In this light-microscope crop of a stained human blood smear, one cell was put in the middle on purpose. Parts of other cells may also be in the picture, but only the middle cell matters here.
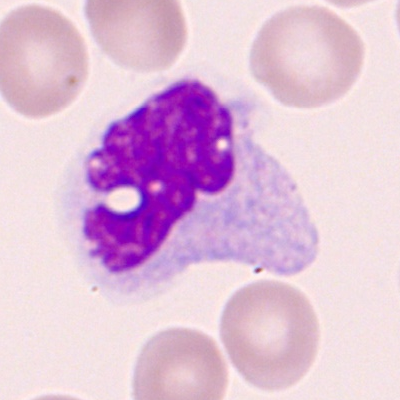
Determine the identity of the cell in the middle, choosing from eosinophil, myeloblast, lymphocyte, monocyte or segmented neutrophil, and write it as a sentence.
The cell positioned in the middle of the field is a monocyte.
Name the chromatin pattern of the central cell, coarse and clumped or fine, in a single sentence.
The chromatin is fine, with no coarse clumping anywhere.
